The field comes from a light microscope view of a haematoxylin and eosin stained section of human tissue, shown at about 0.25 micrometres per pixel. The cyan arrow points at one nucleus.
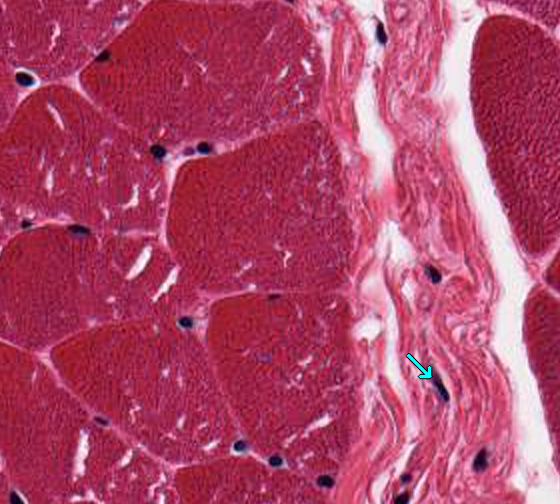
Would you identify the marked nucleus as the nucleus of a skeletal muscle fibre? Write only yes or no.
no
